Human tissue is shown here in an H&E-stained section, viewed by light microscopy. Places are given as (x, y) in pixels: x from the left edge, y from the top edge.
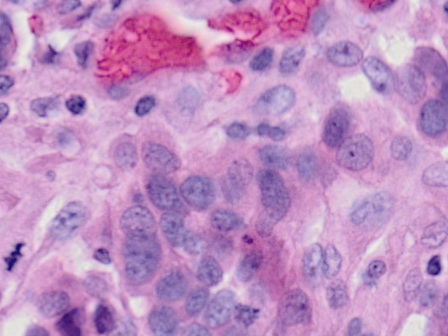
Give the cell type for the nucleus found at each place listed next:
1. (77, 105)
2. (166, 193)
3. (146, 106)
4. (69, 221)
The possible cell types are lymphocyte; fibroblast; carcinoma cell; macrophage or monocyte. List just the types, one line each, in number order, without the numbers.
lymphocyte
carcinoma cell
lymphocyte
fibroblast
